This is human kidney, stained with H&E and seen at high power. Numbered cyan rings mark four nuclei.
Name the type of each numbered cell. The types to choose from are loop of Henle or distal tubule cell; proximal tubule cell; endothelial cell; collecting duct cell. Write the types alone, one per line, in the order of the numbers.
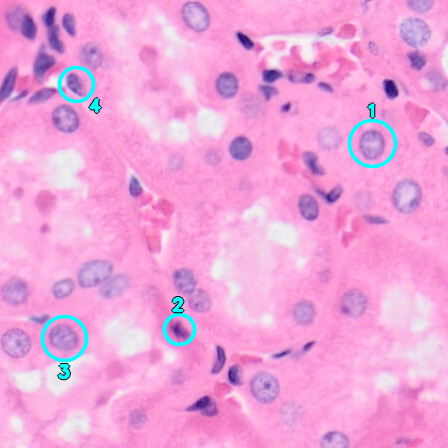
proximal tubule cell
proximal tubule cell
proximal tubule cell
endothelial cell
